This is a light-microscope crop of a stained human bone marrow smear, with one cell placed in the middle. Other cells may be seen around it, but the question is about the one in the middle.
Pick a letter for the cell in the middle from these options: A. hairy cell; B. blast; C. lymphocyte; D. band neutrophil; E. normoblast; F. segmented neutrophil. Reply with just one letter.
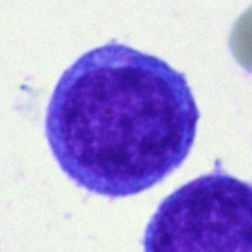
B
